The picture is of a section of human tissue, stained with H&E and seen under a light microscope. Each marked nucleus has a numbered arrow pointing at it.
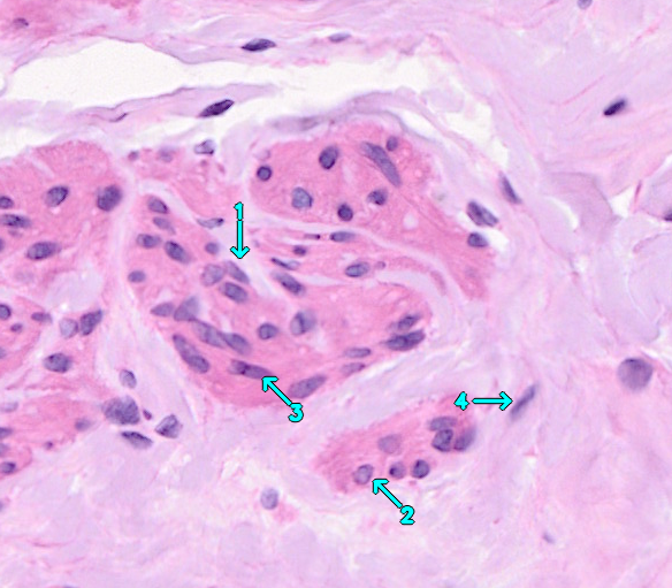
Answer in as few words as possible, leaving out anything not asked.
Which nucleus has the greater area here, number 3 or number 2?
3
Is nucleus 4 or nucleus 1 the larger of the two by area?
4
